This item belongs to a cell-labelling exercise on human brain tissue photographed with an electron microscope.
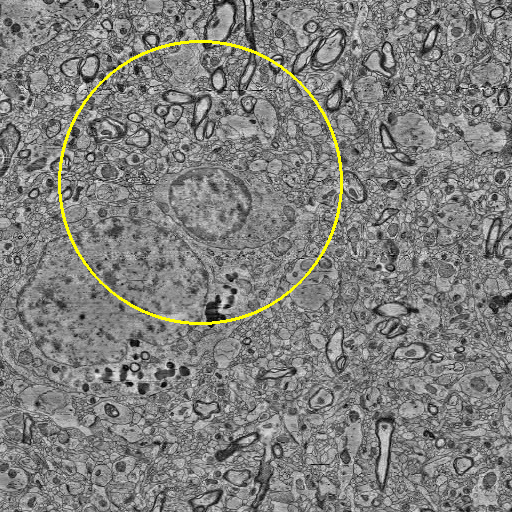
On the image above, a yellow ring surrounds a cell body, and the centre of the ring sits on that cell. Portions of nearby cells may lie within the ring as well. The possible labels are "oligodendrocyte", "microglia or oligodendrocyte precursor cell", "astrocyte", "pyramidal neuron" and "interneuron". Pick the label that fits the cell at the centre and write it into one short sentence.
This cell should be labelled as an oligodendrocyte.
